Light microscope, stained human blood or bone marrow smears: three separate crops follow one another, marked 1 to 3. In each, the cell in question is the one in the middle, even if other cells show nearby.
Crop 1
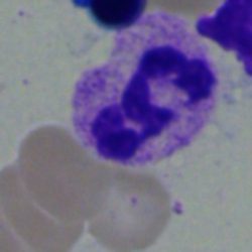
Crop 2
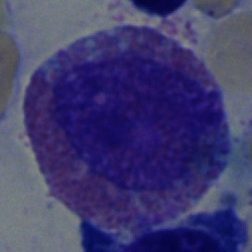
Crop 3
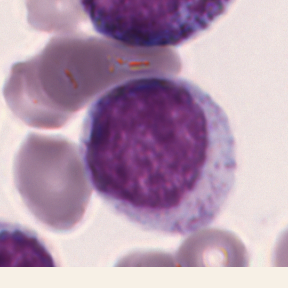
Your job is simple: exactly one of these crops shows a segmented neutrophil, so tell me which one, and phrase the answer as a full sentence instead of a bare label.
Only in crop 1 is a segmented neutrophil shown.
